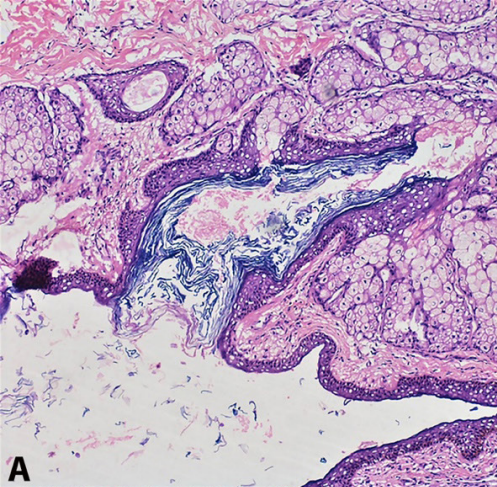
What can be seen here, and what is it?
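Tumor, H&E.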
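A cleft-like cystic space is lined by stratified squamous epithelium, with lobules of glands in the tissue beneath. The lining is several cell layers thick, with a darker purple basal zone and flattened superficial cells. Loose, laminated blue-purple keratin flakes fill the lumen beside the lining. Under the epithelium, crowded rounded lobules are made of large cells with pale, clear, finely vacuolated cytoplasm and small central nuclei, giving a bubbly look. Thin pink fibrous septa separate the lobules, and pink collagenous stroma lies at the top edge.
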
